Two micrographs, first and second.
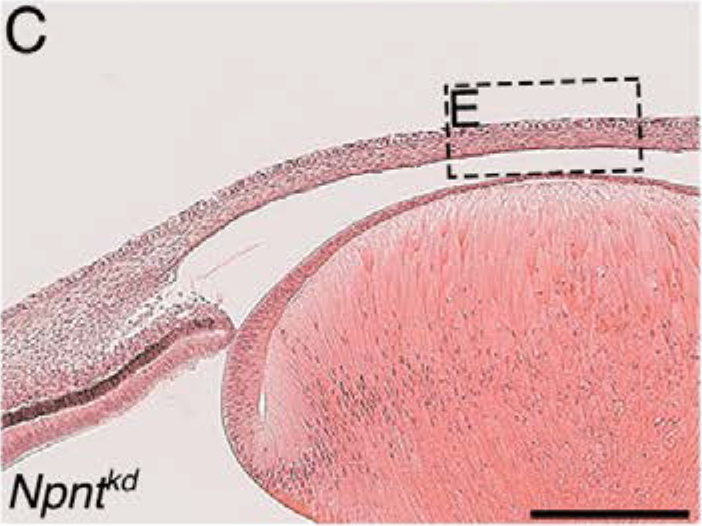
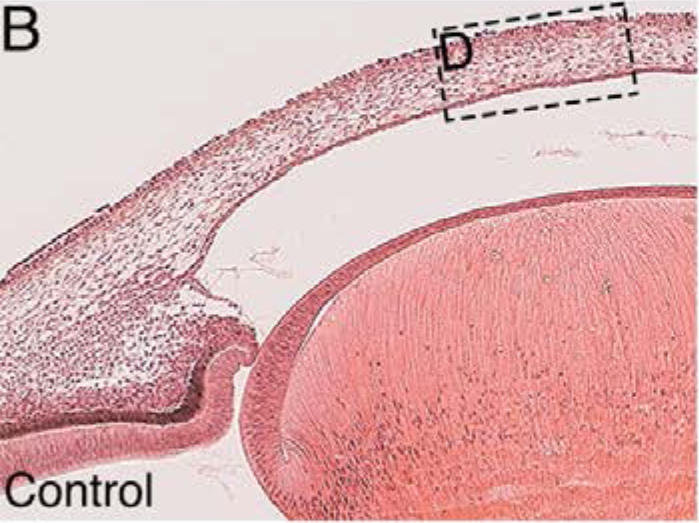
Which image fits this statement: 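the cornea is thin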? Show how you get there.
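First image: the curved band over the lens is narrow along its whole length. Second image: the curved band over the lens is broad, with many nuclei spread through its depth. That points to this answer: the first image.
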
